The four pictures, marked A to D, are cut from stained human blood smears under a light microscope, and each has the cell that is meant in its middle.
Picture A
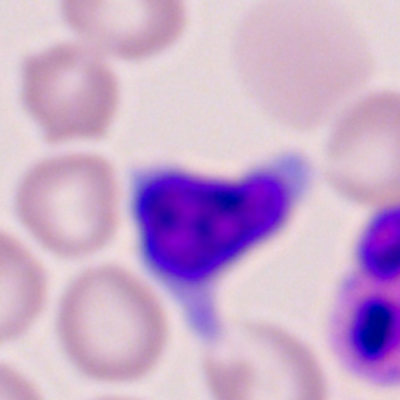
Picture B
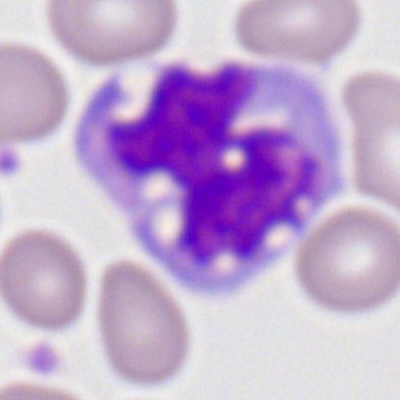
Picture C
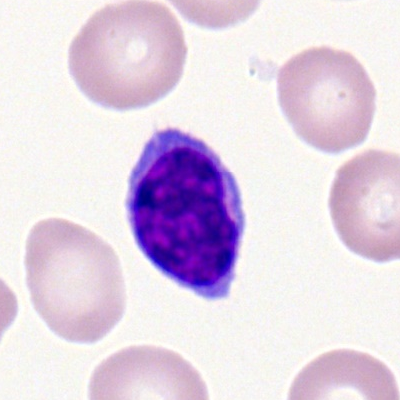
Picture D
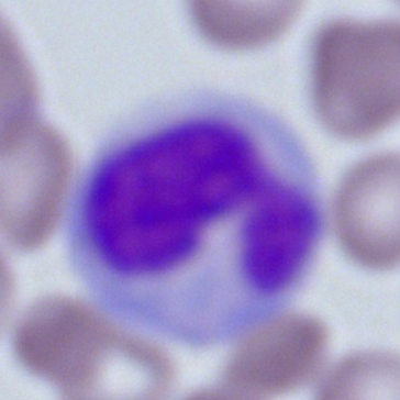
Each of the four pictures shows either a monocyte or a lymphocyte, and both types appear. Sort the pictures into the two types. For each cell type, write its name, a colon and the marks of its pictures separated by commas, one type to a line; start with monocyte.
monocyte: B, D
lymphocyte: A, C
